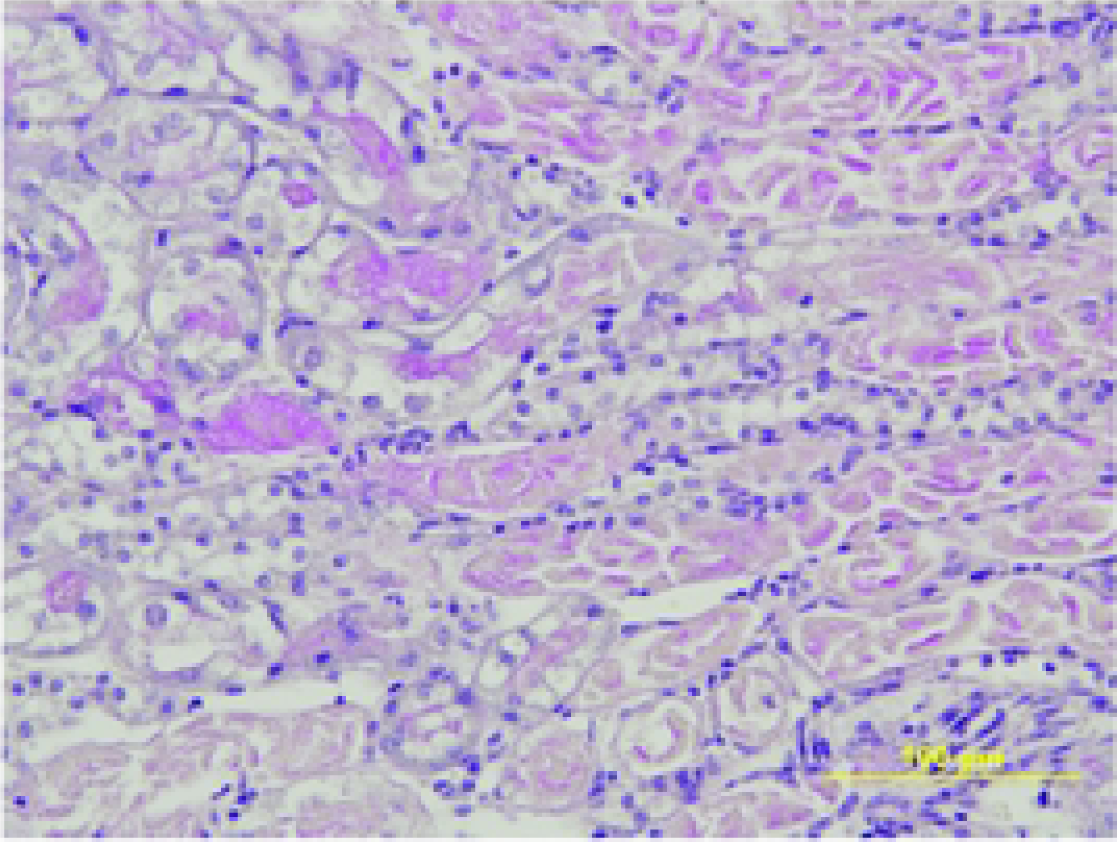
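This section of kidney shows tubules with marked damage to their lining epithelium. Many tubules are filled with pale pink, granular or fragmented material, and much of their epithelium has lost its purple nuclei. Between the injured tubules, small clusters of dark nuclei lie in the narrow interstitium. The tubular outlines are irregular and the normal orderly pattern of the epithelium is largely lost.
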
